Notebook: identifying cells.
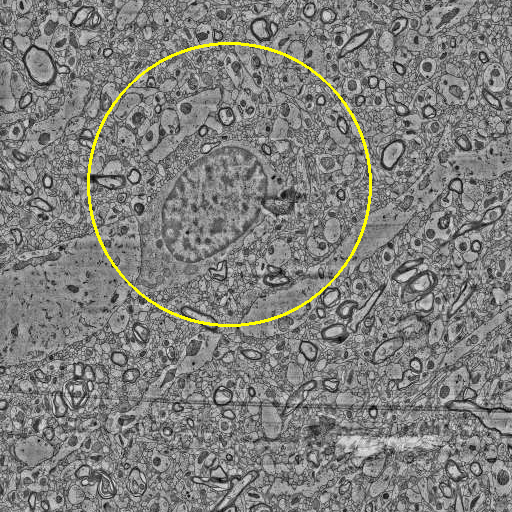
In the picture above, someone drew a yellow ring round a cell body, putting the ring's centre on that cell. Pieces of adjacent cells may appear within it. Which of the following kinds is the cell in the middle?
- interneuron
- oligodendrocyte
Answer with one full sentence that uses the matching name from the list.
In this picture, the yellow ring is centred on the body of an oligodendrocyte.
